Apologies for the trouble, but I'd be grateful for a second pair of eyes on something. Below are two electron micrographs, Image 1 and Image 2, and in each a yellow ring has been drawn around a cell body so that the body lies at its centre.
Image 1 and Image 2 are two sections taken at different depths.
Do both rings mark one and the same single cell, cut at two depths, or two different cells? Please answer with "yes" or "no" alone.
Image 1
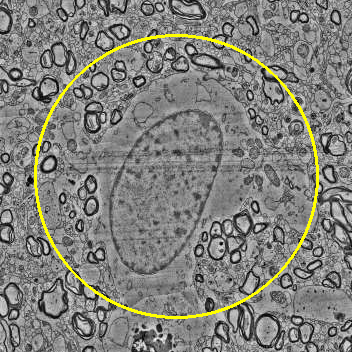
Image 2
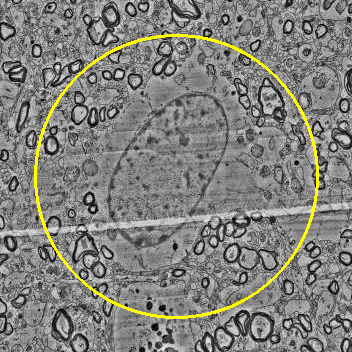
yes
